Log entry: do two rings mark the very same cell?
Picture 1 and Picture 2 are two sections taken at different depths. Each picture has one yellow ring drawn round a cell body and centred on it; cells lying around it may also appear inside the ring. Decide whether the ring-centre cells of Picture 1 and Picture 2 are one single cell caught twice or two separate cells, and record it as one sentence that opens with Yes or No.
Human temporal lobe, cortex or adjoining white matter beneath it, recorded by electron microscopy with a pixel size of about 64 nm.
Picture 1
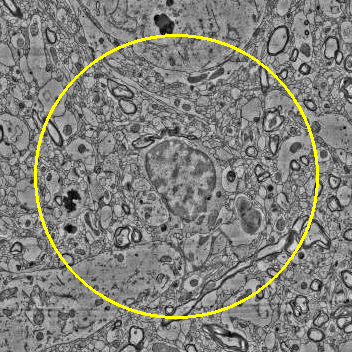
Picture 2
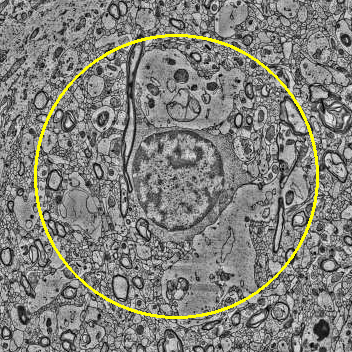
No, each of the two rings holds a different cell.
